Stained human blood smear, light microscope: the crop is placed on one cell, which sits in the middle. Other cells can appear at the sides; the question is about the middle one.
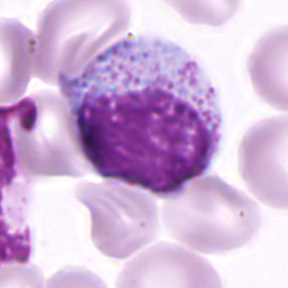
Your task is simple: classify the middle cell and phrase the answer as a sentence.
The cell at the middle of the crop is recognized as a metamyelocyte.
